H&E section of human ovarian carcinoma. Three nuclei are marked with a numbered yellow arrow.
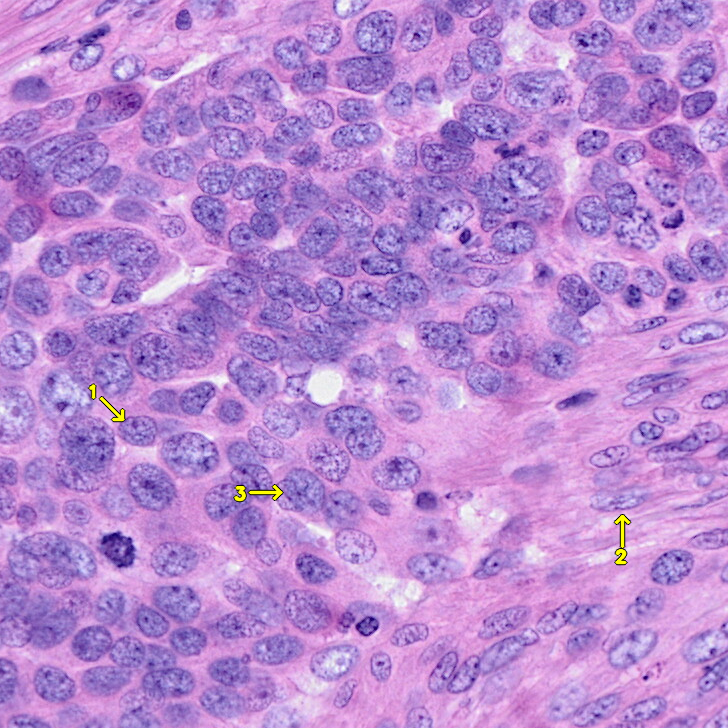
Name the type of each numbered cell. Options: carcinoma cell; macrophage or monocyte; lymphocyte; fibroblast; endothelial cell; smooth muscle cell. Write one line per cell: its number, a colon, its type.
1: carcinoma cell
2: fibroblast
3: carcinoma cell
